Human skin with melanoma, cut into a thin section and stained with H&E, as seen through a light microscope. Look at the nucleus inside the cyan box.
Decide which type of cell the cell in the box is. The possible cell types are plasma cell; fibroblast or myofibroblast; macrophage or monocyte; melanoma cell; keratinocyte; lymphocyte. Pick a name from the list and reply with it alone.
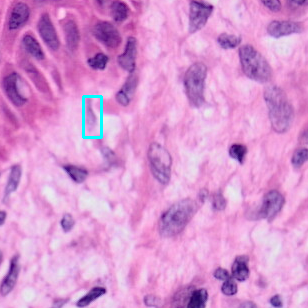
fibroblast or myofibroblast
